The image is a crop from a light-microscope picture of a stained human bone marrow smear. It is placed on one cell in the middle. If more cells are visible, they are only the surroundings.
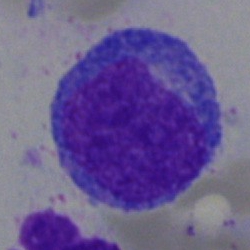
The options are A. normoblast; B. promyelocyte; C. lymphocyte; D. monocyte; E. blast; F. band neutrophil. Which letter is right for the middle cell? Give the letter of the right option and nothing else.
B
